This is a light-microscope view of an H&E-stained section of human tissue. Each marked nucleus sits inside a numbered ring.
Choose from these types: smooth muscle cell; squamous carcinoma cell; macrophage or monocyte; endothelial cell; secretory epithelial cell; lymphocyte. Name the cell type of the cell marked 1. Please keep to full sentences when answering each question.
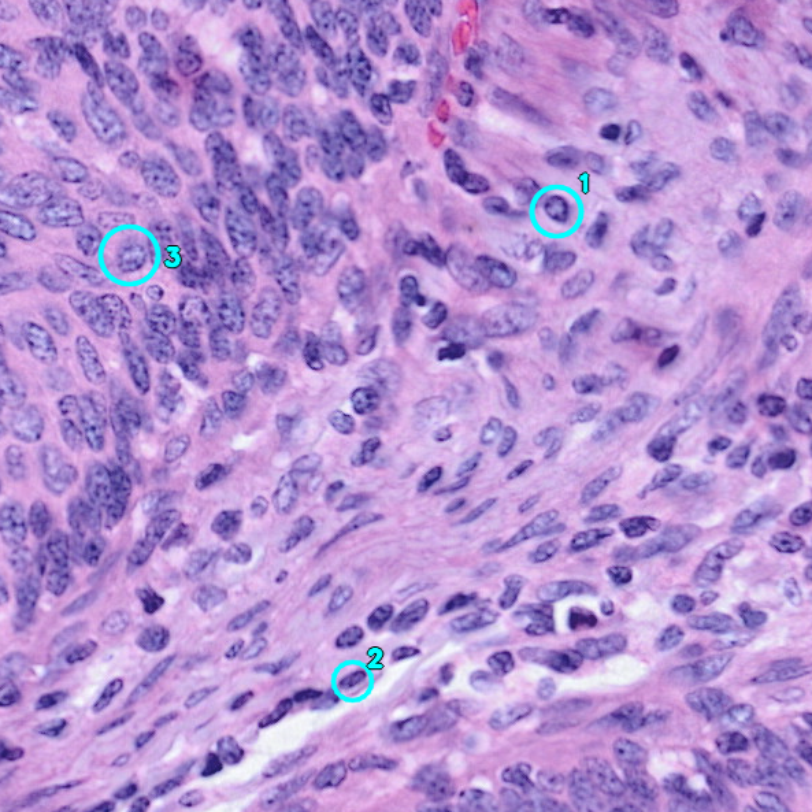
The cell that is numbered 1 is a lymphocyte.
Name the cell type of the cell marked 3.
The cell that carries the label 3 is a squamous carcinoma cell.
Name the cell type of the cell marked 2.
As for number 2, that cell is a lymphocyte.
